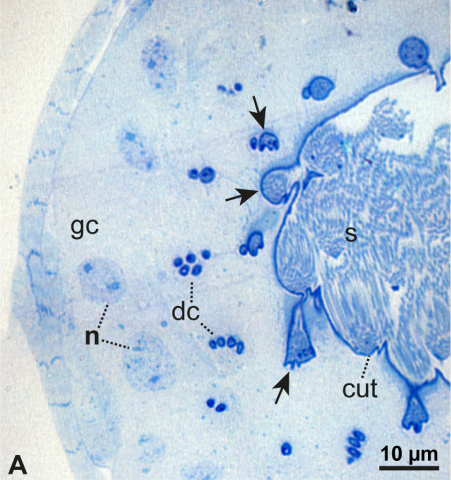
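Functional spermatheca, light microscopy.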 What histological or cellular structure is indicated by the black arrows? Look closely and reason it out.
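The lumen is filled with a dense fibrous mass.
Hence: region of fusion of the glandular ducts with the cuticles.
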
